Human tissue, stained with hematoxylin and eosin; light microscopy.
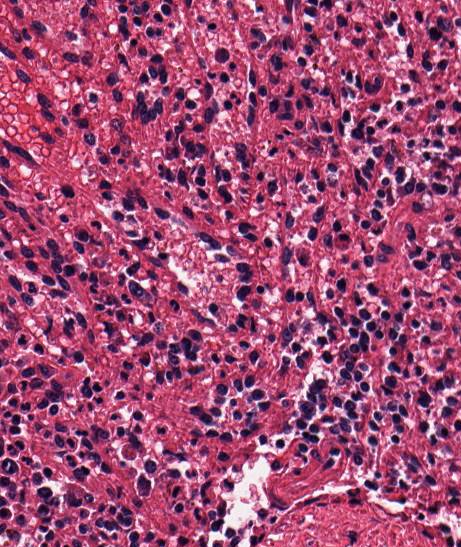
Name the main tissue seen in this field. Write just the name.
red pulp of the spleen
